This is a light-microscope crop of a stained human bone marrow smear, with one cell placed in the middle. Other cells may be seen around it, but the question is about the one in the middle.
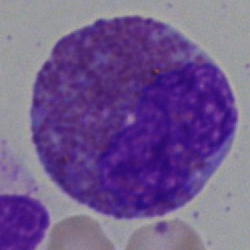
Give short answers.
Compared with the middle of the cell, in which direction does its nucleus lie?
lower right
